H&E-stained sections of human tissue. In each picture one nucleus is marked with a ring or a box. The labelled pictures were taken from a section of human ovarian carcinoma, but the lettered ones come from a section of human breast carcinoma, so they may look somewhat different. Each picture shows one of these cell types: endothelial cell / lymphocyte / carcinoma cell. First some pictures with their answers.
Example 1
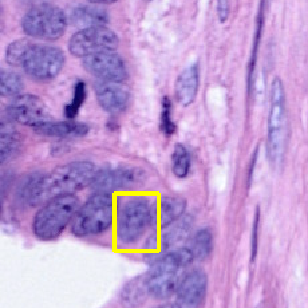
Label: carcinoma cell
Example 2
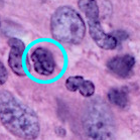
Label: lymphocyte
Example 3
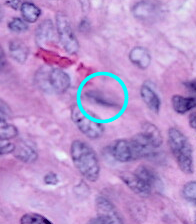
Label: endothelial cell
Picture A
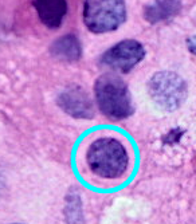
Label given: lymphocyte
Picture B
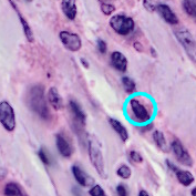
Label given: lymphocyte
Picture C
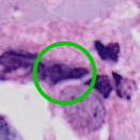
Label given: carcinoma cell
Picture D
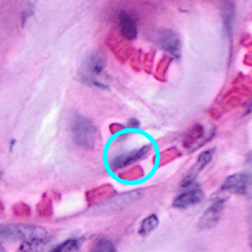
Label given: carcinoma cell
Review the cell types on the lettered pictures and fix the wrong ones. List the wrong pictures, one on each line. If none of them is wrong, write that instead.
A should be carcinoma cell, not lymphocyte
D should be endothelial cell, not carcinoma cell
